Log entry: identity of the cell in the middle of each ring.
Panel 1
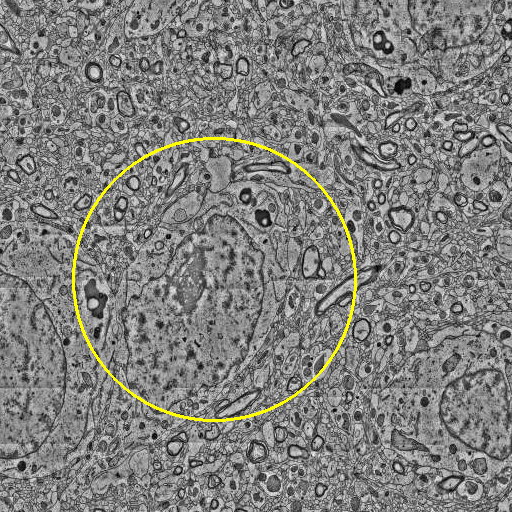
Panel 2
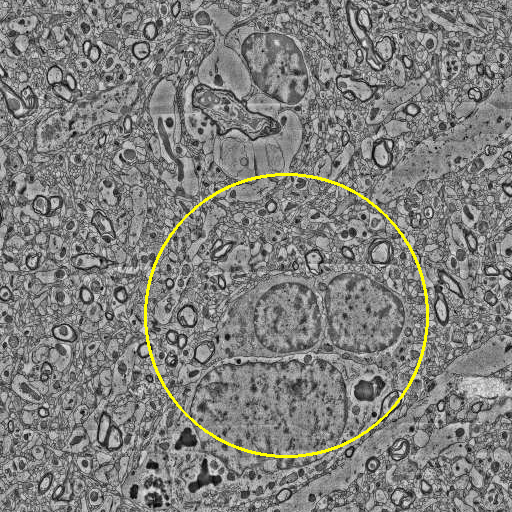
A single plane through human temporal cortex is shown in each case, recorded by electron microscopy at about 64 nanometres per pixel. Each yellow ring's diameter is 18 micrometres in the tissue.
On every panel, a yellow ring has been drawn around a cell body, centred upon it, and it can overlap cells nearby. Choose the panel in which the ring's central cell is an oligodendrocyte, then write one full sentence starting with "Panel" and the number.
Panel 2 shows the requested cell sitting in the middle of its ring.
